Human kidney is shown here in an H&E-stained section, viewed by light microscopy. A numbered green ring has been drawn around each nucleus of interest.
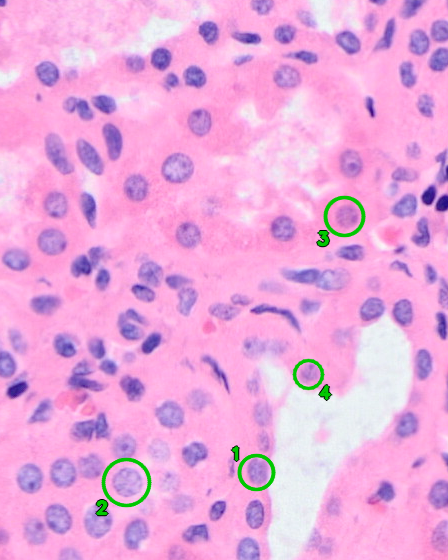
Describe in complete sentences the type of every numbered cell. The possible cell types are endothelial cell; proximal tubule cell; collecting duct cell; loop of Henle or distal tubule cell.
Cell 1 is a loop of Henle or distal tubule cell, cell 2 is a loop of Henle or distal tubule cell, cell 3 is a proximal tubule cell and cell 4 is a loop of Henle or distal tubule cell.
